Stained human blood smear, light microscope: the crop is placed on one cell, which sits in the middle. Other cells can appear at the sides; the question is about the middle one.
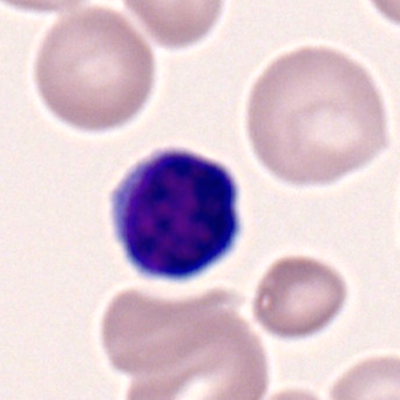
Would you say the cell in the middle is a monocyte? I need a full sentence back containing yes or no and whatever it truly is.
No, the cell in the middle of the field is a lymphocyte, not a monocyte as suggested.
